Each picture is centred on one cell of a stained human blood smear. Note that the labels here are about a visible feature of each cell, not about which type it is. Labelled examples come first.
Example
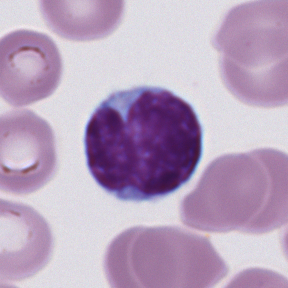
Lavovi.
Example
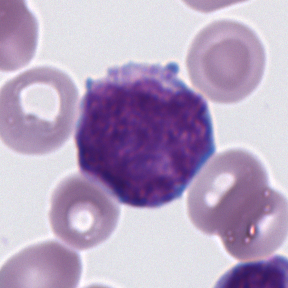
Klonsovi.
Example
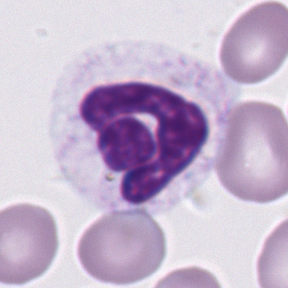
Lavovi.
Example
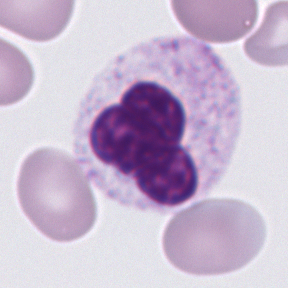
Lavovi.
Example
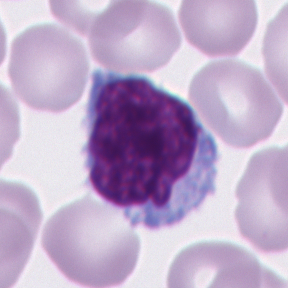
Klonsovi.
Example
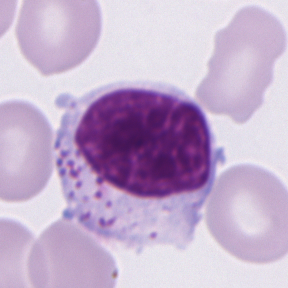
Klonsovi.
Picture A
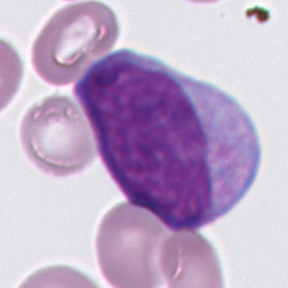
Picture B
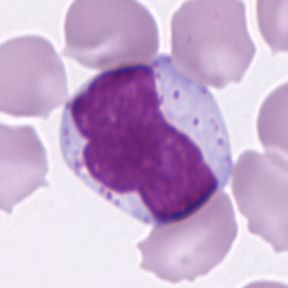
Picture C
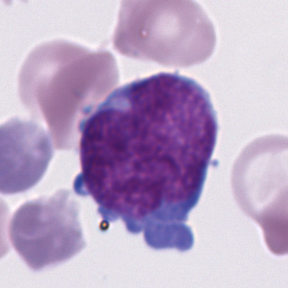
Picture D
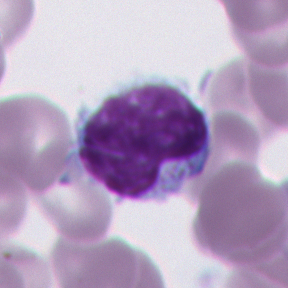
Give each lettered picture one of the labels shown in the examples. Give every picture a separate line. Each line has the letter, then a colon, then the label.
A: Lavovi.
B: Lavovi.
C: Klonsovi.
D: Klonsovi.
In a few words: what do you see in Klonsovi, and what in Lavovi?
Klonsovi: ragged outline or projections; Lavovi: smooth outline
